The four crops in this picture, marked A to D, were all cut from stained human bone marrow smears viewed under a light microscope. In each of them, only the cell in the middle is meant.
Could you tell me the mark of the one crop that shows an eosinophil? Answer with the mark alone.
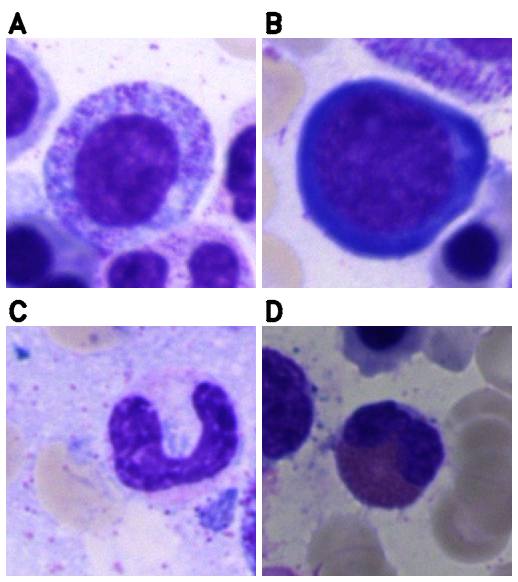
D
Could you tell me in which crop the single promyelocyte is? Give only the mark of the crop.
A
